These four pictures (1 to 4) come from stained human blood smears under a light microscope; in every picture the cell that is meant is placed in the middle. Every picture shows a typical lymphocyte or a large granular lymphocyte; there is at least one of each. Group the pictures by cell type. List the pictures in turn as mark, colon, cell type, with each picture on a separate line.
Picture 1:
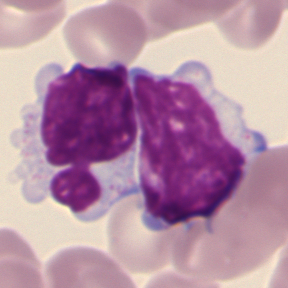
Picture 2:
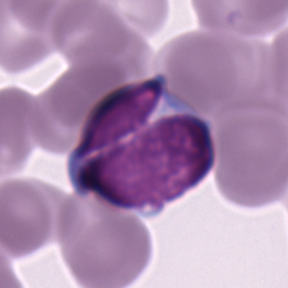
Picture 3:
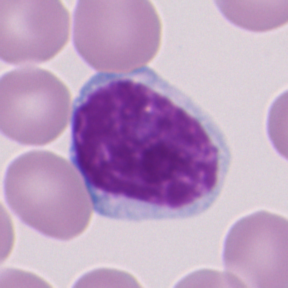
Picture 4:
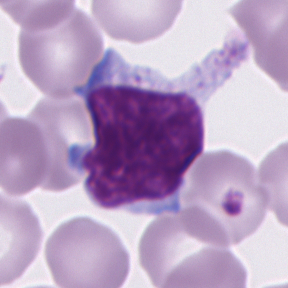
1: large granular lymphocyte
2: large granular lymphocyte
3: typical lymphocyte
4: large granular lymphocyte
